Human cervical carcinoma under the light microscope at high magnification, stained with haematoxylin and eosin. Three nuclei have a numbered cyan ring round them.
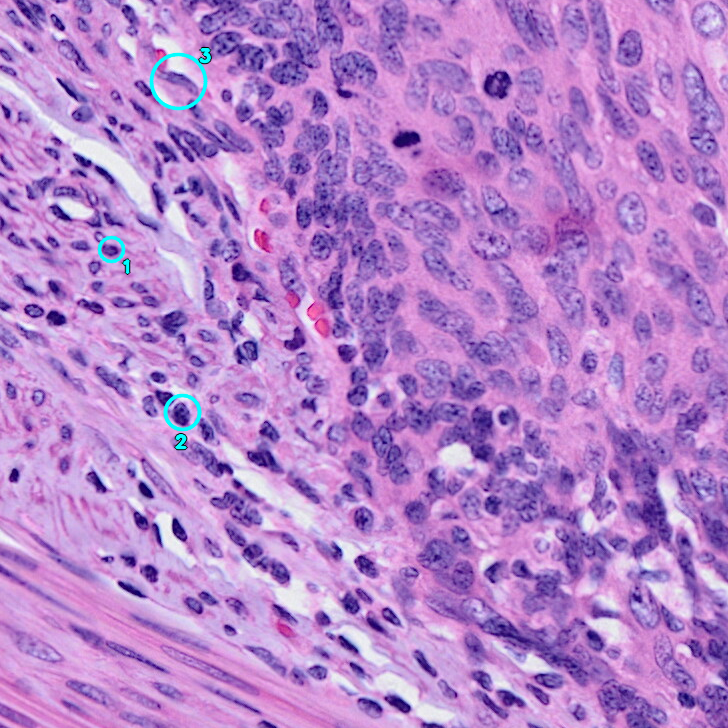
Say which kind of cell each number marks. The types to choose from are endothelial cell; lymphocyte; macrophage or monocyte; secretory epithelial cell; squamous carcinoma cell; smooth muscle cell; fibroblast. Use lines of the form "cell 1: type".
cell 1: smooth muscle cell
cell 2: lymphocyte
cell 3: endothelial cell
